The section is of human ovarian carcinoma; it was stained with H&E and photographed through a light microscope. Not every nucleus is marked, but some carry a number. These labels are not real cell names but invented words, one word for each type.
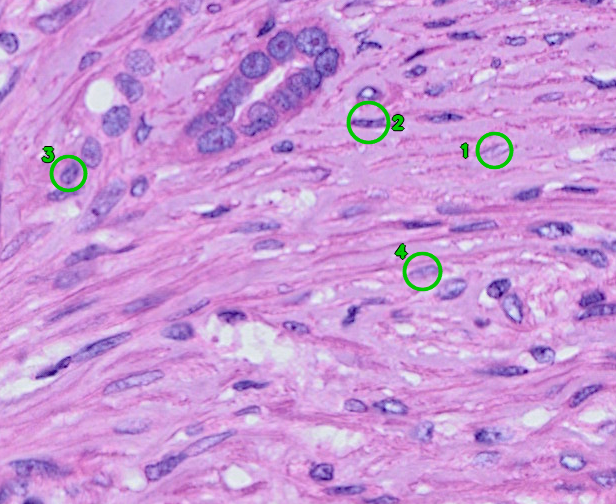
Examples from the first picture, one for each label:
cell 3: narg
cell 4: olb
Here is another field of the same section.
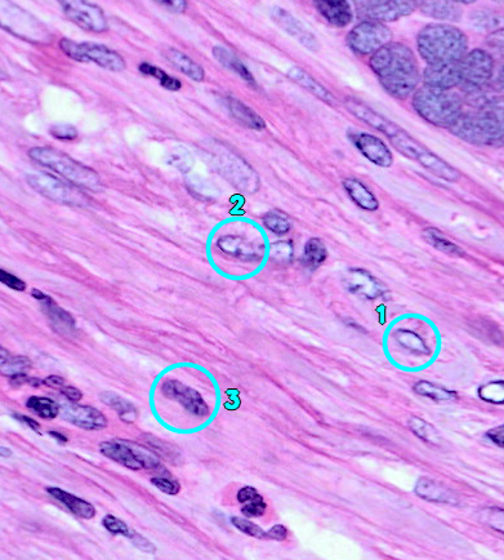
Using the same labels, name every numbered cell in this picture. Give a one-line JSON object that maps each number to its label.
{"1": "olb", "2": "olb", "3": "narg"}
